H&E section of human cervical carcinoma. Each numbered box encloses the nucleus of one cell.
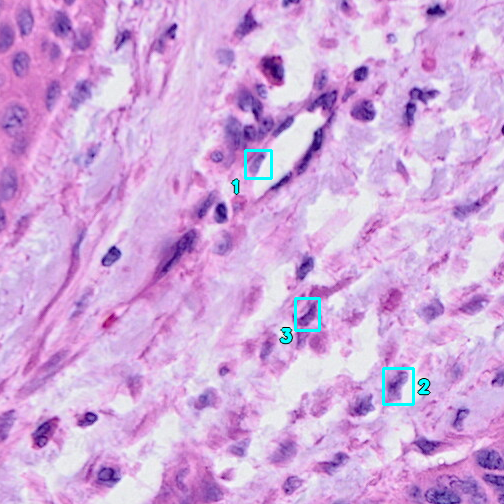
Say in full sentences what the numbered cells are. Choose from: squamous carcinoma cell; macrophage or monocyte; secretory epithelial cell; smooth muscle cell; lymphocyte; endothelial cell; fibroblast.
Cell 1 is an endothelial cell, cell 2 is a fibroblast and cell 3 is a fibroblast.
